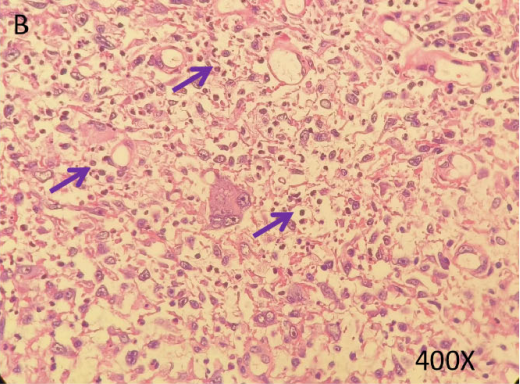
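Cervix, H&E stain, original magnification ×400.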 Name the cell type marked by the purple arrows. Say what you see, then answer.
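Inflammatory infiltrates. The arrows point to small cells with small dark round nuclei. These small cells are scattered through loose, pale stroma. They are much smaller than the surrounding large atypical cells.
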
